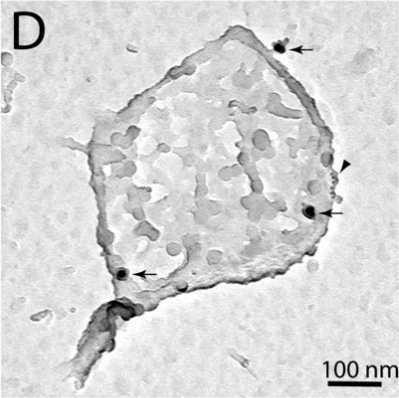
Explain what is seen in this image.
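The edge of the vesicle is a narrow, slightly thickened band, while the interior is thin and carries many irregular pale blebs. On the right margin a short row of tiny dark dots forms a small patch of much finer particles. Around the vesicle the grid surface shows an even, mottled film texture.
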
